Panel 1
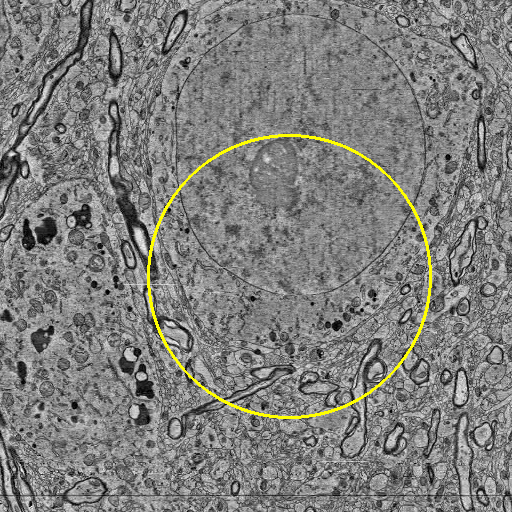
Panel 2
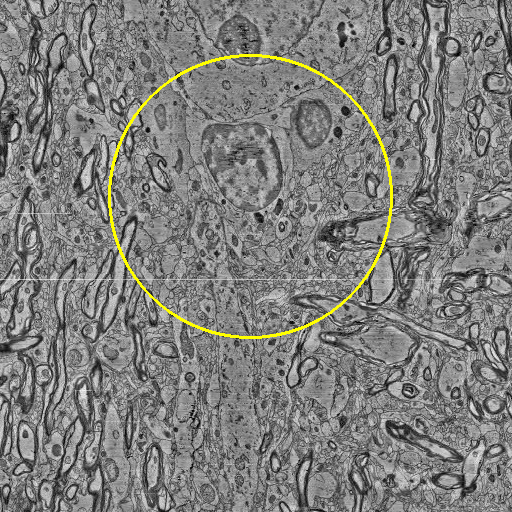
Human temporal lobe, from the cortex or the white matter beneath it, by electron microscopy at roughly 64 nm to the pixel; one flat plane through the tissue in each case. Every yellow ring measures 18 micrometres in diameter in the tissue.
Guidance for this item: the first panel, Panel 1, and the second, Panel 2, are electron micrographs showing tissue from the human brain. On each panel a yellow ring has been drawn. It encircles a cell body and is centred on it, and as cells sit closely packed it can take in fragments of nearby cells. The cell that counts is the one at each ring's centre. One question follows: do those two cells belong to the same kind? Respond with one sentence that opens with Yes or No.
No, the cells at the ring centres in Panel 1 and Panel 2 are of two kinds.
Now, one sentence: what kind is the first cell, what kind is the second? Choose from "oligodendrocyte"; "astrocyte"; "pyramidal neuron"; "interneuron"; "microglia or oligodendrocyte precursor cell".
The first picture has a pyramidal neuron at its ring centre, and the second has a microglial cell or oligodendrocyte precursor cell.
